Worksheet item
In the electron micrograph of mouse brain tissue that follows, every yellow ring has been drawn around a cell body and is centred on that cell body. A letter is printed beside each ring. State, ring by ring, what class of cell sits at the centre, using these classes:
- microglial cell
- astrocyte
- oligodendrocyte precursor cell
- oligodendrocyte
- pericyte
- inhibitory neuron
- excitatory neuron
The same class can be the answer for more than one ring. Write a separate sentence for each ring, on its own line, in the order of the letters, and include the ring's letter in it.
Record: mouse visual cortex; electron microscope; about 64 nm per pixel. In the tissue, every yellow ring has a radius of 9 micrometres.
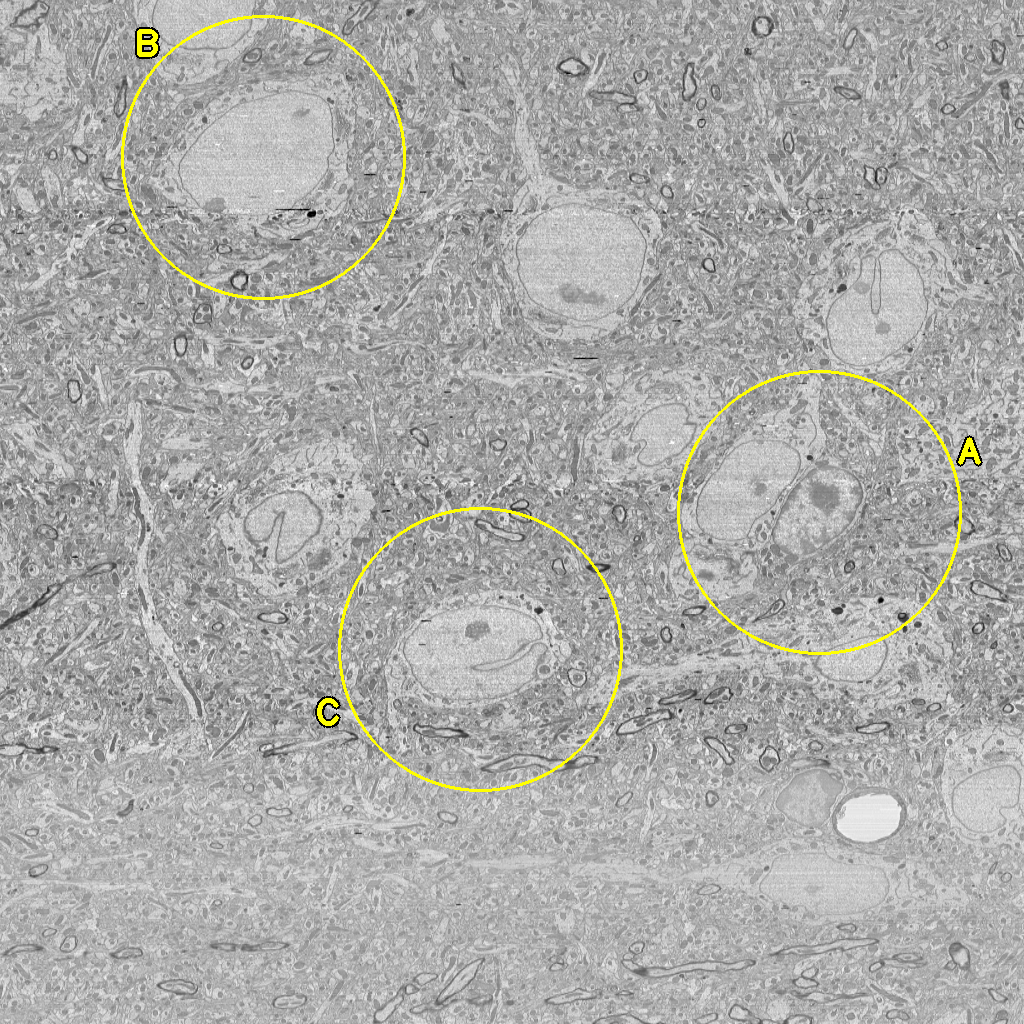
At the centre of ring A sits an oligodendrocyte.
At the centre of ring B sits an excitatory neuron.
At the centre of ring C sits an inhibitory neuron.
